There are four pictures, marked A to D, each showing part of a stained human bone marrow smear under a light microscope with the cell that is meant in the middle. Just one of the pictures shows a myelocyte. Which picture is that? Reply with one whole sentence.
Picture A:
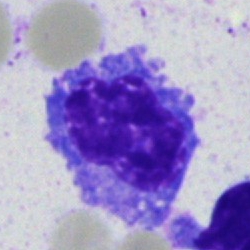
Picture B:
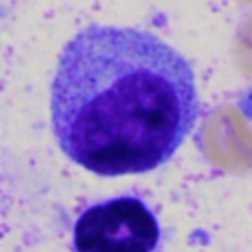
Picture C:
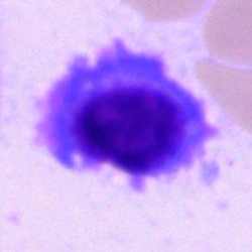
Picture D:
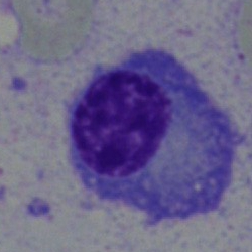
Picture B is the one that shows the myelocyte.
